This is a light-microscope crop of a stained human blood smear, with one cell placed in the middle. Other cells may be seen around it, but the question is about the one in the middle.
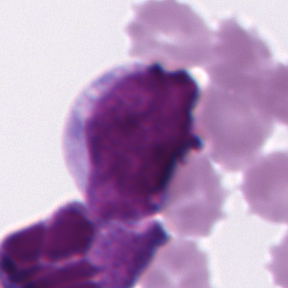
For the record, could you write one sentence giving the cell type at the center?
The central cell shown in this smear crop is a myeloblast.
